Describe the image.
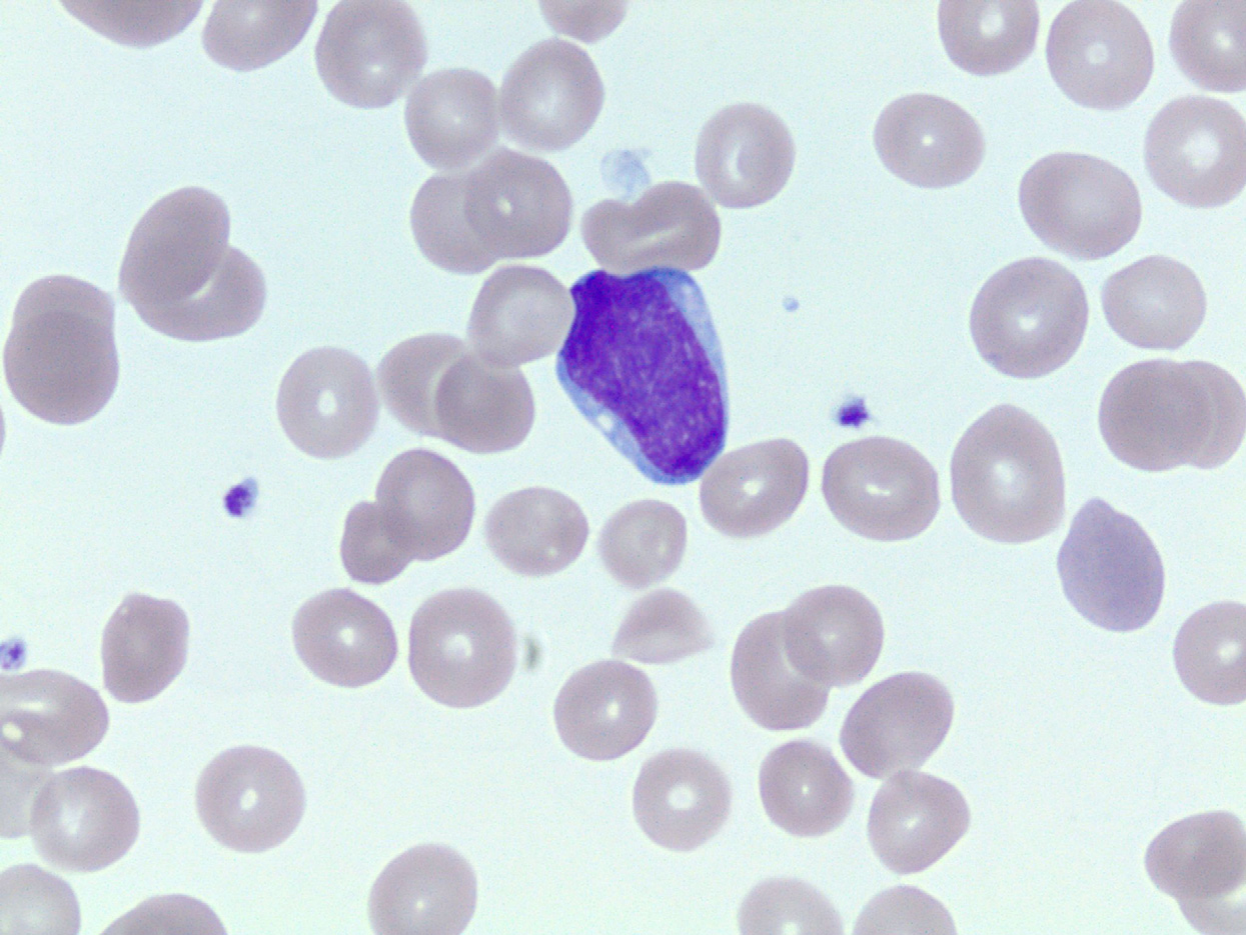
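Among evenly spread pink red blood cells with central pallor and a few small platelets lies one large nucleated cell whose oval nucleus, with fine, even purple chromatin, fills most of the cell. A thin rim of pale blue cytoplasm surrounds the nucleus and holds a few small clear spots. The high nuclear-to-cytoplasmic ratio, fine chromatin and scant bluish cytoplasm mark this cell as a blast with a few small vacuoles.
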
